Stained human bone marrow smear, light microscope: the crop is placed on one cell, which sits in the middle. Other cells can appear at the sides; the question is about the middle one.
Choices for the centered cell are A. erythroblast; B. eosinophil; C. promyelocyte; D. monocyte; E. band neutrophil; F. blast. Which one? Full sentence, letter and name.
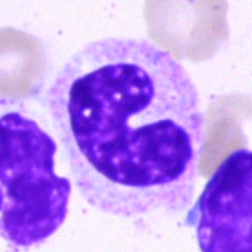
The cell at the centre, correctly named in option E, is a band neutrophil.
